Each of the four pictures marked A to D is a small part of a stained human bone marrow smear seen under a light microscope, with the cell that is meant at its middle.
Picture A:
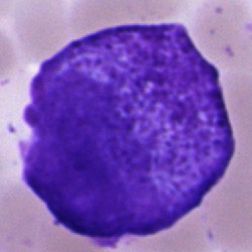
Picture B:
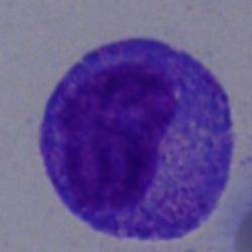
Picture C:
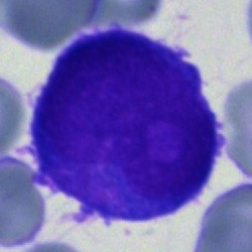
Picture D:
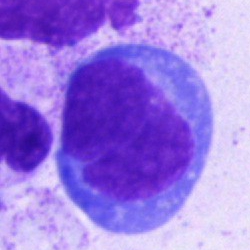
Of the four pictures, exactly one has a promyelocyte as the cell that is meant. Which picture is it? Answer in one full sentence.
The promyelocyte is the one in picture B.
